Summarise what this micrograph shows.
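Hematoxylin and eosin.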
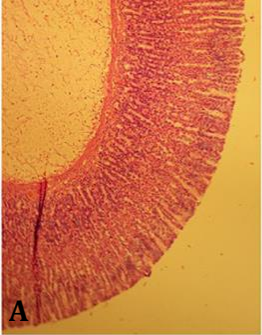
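This is a section of the stomach lining: a thick band of mucosa in which long, slender glands stand side by side, perpendicular to the surface, like the teeth of a comb. The glands are pink with small purple nuclei along them, and the epithelium at the surface forms an even, continuous border facing the lumen. The narrow dark crack running across the band looks like a cutting artifact rather than a lesion.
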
